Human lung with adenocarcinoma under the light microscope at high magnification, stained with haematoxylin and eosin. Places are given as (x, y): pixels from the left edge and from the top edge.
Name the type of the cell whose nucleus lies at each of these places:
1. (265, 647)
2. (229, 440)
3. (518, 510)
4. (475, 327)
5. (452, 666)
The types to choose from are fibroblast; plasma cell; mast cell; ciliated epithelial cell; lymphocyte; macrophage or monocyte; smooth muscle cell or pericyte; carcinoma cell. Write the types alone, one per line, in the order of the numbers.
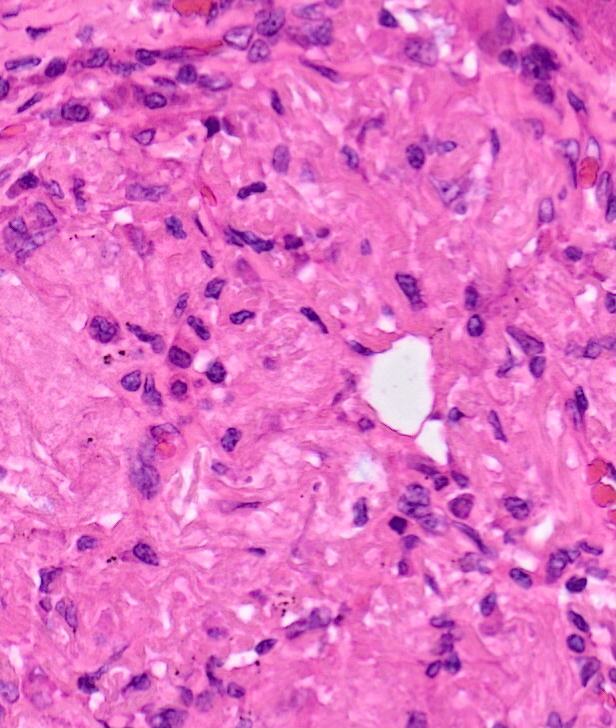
lymphocyte
mast cell
plasma cell
plasma cell
lymphocyte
